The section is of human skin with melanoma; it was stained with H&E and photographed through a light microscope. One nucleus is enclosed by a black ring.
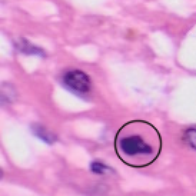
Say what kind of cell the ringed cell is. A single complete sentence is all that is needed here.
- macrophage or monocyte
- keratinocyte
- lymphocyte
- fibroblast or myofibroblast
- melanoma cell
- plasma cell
Placed in its cell category, the ringed cell is a plasma cell.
